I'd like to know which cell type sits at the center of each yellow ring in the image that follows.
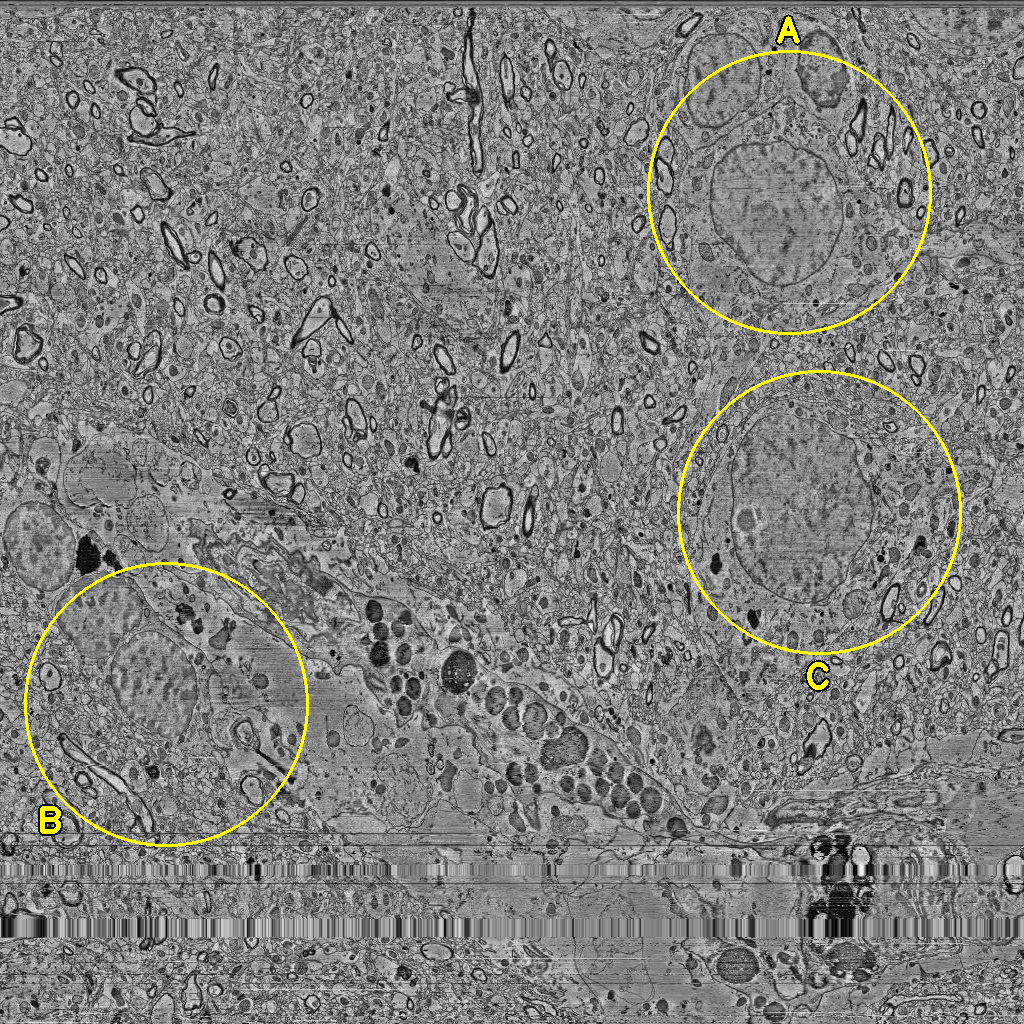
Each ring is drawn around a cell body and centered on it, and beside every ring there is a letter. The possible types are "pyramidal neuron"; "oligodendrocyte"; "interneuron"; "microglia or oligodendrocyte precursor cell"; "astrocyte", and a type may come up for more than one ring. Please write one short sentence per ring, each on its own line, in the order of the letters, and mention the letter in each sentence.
The cell at the center of ring A is a pyramidal neuron.
The cell at the center of ring B is an oligodendrocyte.
The cell at the center of ring C is a pyramidal neuron.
